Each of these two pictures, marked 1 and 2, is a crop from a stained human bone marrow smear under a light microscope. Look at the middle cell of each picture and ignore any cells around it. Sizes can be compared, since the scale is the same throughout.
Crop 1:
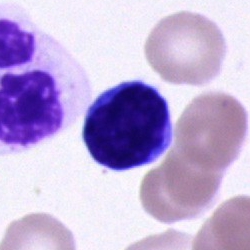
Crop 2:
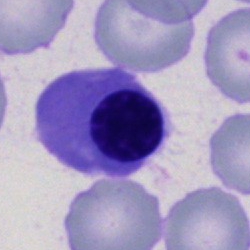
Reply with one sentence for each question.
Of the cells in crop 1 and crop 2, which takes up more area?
The cell in crop 2 is larger, with about 1.5 times the area of the one in crop 1.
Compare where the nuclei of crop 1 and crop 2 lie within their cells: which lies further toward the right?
In crop 2 the nucleus is shifted more toward the right.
